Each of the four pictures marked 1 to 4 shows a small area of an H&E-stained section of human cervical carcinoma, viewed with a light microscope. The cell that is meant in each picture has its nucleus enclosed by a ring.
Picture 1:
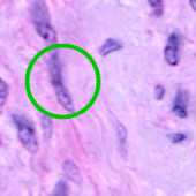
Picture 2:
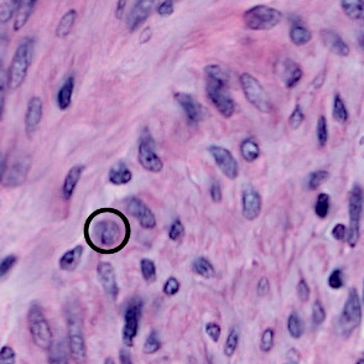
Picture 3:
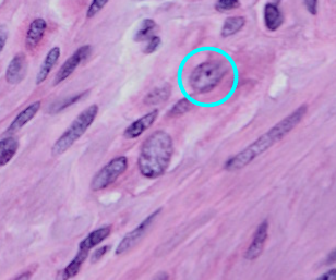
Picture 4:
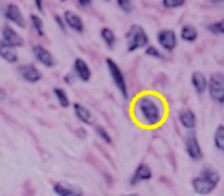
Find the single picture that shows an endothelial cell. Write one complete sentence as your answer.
The picture with the endothelial cell is 3.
